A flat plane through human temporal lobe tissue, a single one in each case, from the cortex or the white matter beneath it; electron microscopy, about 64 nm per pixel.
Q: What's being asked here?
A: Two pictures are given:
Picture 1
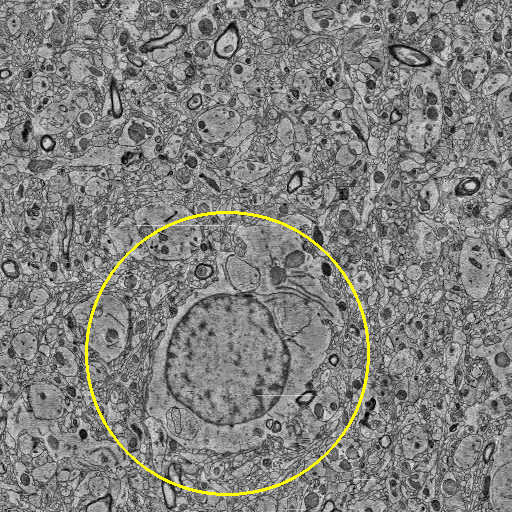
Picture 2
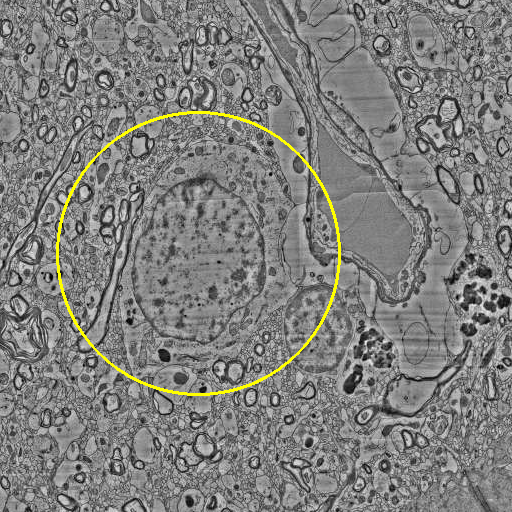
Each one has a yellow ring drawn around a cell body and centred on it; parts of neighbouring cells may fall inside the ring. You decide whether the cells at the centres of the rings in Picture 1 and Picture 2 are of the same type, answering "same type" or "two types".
two types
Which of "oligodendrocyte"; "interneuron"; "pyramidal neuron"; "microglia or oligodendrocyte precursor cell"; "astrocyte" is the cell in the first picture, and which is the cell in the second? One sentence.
The two differ: the first cell is an astrocyte and the second is an interneuron.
